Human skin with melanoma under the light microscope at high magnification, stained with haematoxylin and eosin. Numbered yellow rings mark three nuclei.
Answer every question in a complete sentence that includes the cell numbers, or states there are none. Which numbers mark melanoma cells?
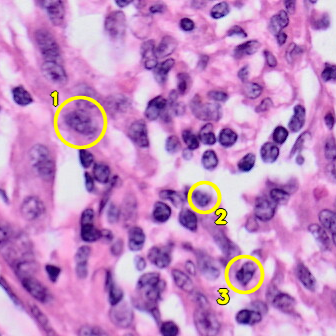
In contrast to the remaining marked cells, cell 1 is a melanoma cell.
